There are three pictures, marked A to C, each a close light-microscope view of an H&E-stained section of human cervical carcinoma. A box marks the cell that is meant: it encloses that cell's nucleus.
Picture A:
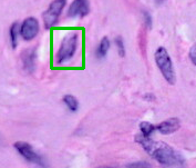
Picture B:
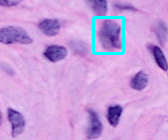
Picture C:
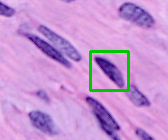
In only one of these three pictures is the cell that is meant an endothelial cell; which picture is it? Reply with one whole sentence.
It is picture A that shows the endothelial cell.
